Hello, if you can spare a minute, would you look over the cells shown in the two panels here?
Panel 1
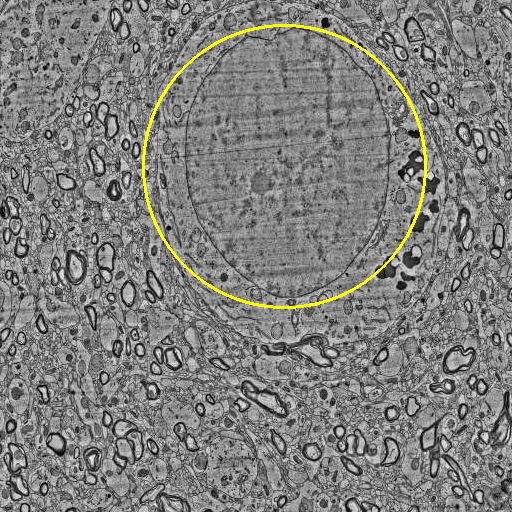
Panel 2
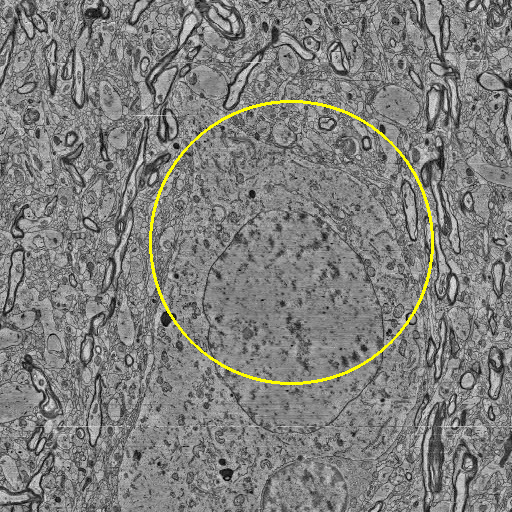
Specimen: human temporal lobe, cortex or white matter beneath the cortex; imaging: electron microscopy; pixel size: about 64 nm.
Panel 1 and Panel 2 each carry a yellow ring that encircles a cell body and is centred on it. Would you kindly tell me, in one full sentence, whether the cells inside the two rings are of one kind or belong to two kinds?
The cells at the centres of the rings in Panel 1 and Panel 2 are of one kind.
